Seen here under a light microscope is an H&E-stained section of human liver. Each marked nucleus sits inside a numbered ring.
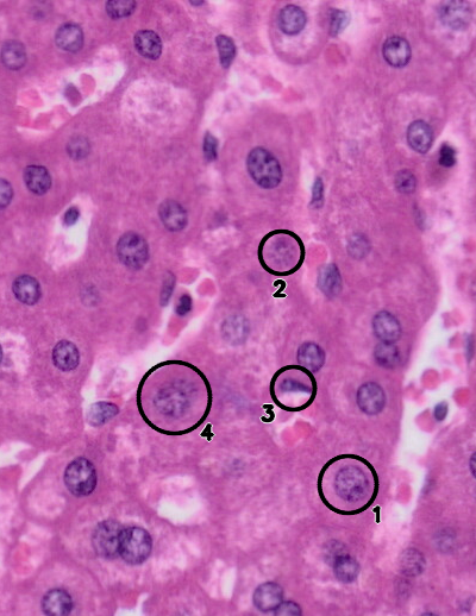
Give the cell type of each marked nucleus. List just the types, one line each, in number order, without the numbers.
hepatocyte
hepatocyte
fibroblast or stellate cell
hepatocyte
